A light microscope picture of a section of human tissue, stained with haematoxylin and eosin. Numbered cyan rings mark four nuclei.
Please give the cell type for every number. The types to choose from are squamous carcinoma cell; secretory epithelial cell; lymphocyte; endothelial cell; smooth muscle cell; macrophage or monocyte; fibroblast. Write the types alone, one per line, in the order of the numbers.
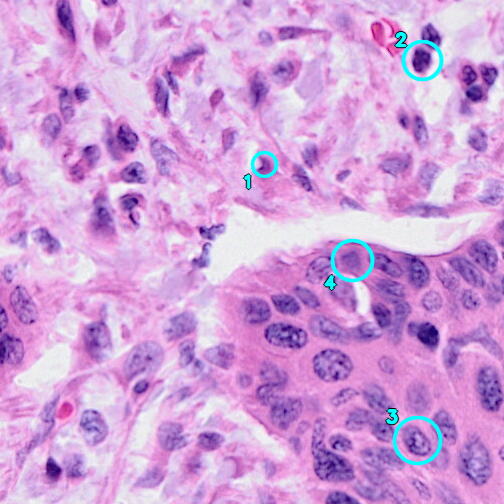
fibroblast
lymphocyte
squamous carcinoma cell
squamous carcinoma cell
